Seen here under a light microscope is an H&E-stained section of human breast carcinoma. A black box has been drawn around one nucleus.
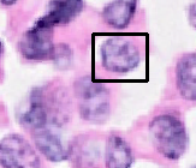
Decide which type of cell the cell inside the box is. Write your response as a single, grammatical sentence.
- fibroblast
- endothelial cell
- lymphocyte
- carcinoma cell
Just put down that the cell inside the box is a carcinoma cell.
